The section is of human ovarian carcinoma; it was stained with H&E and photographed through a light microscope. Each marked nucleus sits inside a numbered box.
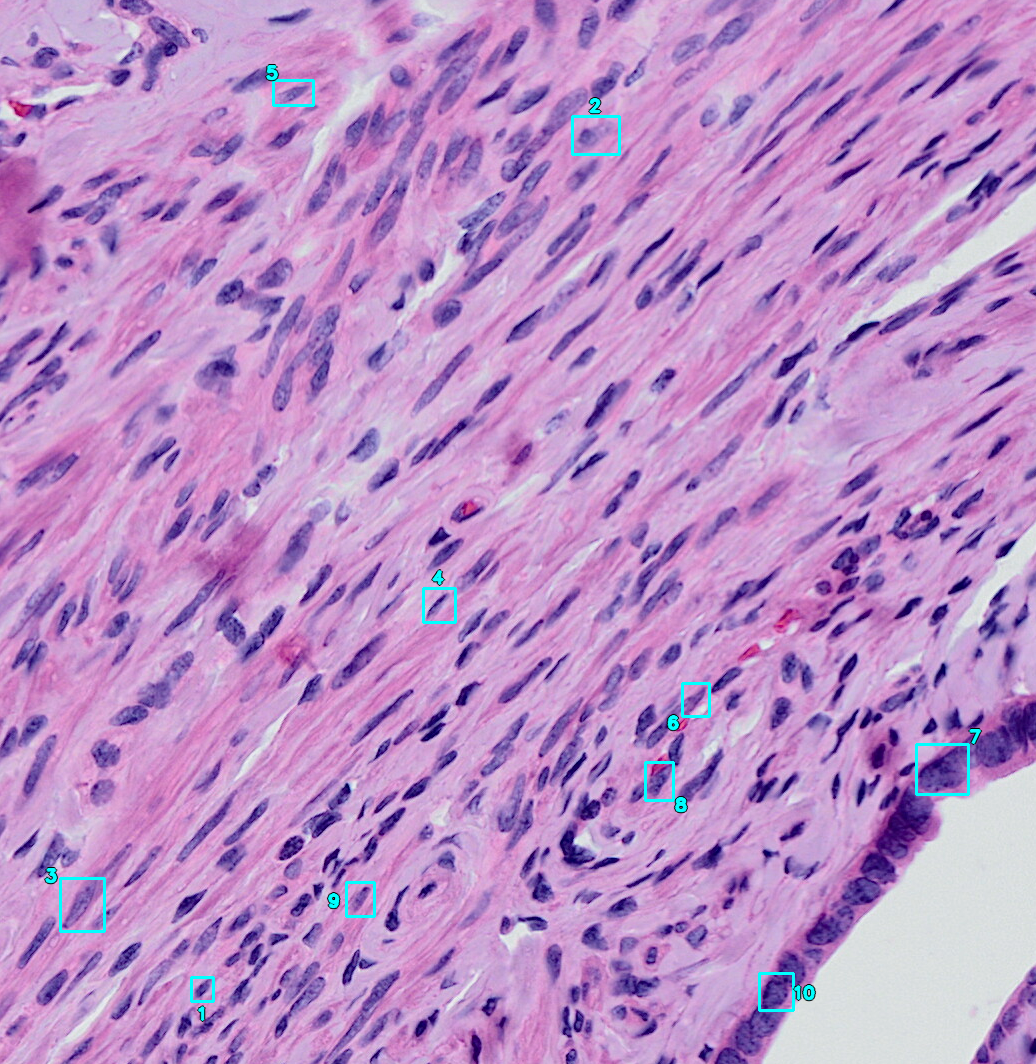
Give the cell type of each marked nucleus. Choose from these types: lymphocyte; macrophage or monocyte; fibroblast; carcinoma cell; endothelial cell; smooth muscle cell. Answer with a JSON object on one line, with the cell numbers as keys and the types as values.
{"1": "smooth muscle cell", "2": "smooth muscle cell", "3": "smooth muscle cell", "4": "smooth muscle cell", "5": "smooth muscle cell", "6": "endothelial cell", "7": "carcinoma cell", "8": "endothelial cell", "9": "smooth muscle cell", "10": "carcinoma cell"}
